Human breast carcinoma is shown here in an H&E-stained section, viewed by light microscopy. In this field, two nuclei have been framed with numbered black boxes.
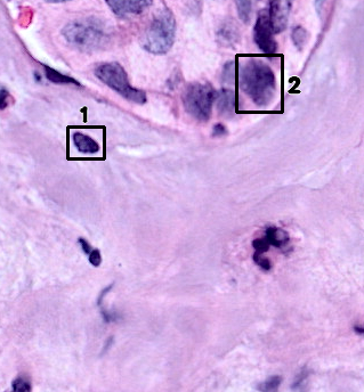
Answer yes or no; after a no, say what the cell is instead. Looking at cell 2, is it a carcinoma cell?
Yes.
